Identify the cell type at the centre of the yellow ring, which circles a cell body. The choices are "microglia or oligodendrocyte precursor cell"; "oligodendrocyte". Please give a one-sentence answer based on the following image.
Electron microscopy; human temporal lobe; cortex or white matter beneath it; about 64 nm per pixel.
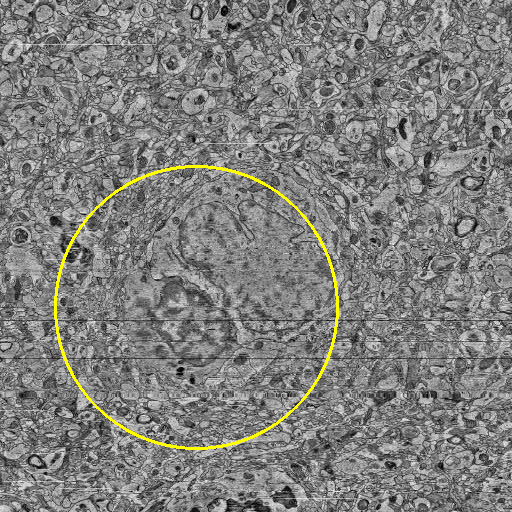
The cell marked by the ring is an oligodendrocyte.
